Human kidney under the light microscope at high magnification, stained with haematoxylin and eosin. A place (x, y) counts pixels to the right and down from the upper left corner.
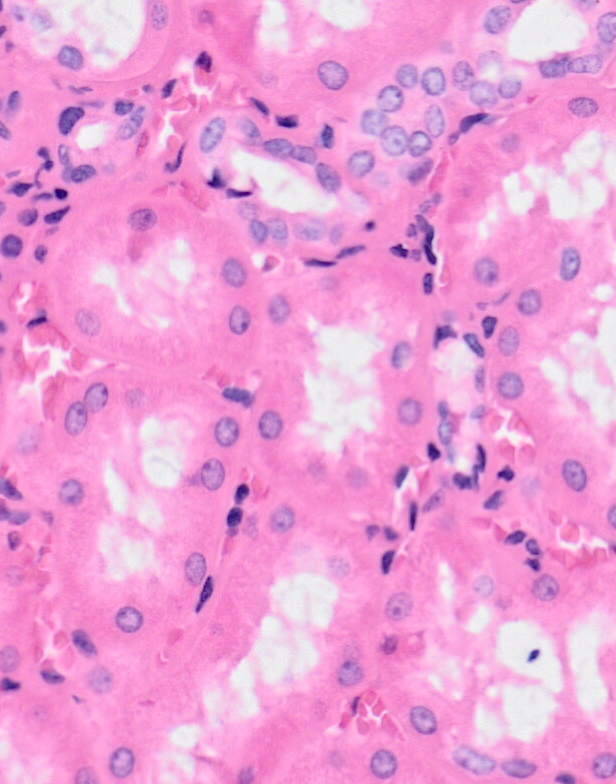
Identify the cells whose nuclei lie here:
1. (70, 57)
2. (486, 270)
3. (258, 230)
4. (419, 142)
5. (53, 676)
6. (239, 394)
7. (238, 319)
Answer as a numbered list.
1. loop of Henle or distal tubule cell
2. proximal tubule cell
3. collecting duct cell
4. collecting duct cell
5. endothelial cell
6. endothelial cell
7. proximal tubule cell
